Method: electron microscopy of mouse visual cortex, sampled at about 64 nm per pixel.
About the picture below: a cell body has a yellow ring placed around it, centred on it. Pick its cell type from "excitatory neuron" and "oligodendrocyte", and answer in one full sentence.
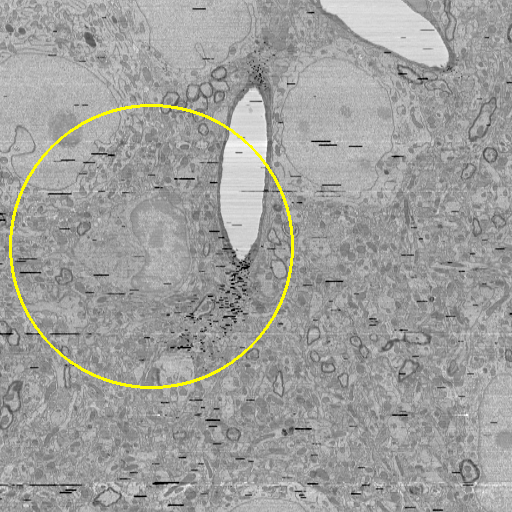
In the picture, an oligodendrocyte is the cell sitting at the centre of the yellow ring.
